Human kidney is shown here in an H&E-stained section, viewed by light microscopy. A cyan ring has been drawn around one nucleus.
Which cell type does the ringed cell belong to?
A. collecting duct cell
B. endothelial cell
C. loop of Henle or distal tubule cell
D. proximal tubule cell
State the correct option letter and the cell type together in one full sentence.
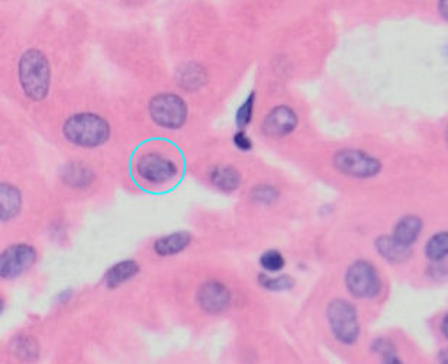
Option C is the correct one, since the ringed cell is a loop of Henle or distal tubule cell.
